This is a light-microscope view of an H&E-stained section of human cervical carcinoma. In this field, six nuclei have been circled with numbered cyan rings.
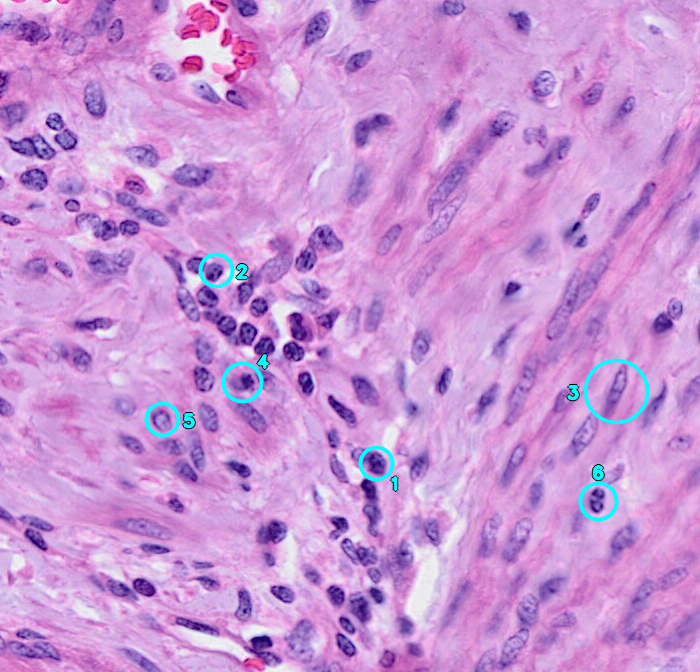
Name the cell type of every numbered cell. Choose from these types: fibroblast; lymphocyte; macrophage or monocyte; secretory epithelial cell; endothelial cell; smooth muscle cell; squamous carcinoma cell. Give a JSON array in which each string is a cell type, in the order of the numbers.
["lymphocyte", "lymphocyte", "smooth muscle cell", "lymphocyte", "smooth muscle cell", "lymphocyte"]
